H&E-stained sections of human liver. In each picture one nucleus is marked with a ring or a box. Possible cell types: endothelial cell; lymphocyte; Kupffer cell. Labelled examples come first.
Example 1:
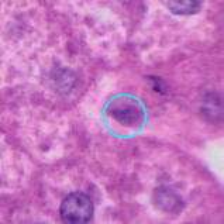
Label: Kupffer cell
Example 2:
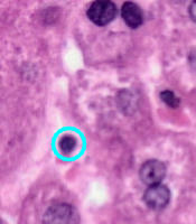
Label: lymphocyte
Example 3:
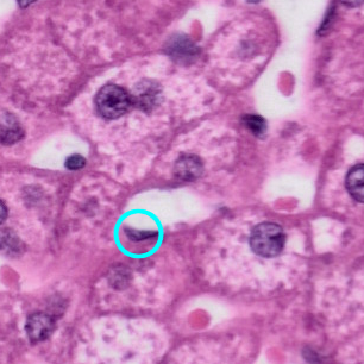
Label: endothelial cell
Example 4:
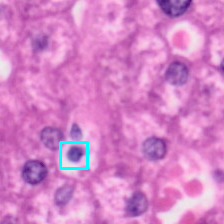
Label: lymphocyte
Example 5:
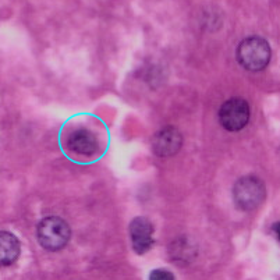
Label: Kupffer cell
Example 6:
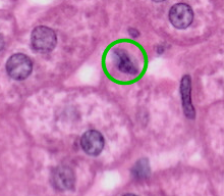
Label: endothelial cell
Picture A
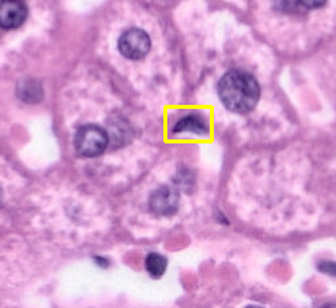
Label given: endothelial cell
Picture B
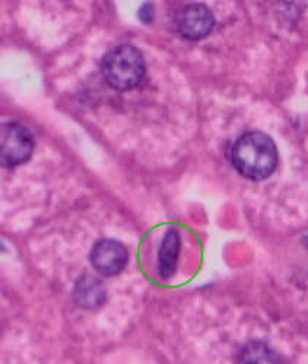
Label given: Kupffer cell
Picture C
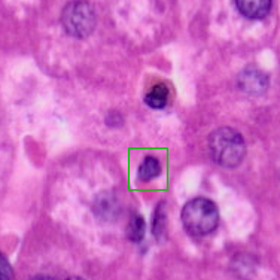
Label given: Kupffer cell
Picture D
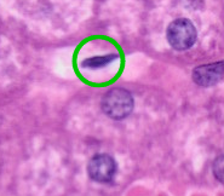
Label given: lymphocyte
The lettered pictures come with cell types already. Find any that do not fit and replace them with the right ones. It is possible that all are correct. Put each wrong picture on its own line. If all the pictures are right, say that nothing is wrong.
C should be lymphocyte, not Kupffer cell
